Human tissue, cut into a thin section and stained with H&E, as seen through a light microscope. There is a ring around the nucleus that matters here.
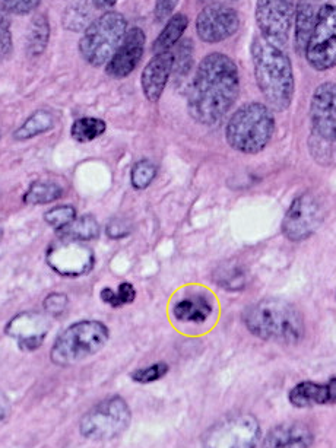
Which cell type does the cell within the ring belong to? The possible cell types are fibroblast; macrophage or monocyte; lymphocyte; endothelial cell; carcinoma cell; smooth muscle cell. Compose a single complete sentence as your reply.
The correct response here is that the cell within the ring is a lymphocyte.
